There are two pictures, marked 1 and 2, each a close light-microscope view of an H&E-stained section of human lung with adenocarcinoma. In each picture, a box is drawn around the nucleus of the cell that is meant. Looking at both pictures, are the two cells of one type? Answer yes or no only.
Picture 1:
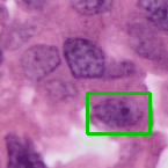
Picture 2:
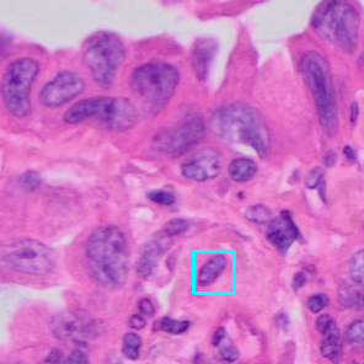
no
